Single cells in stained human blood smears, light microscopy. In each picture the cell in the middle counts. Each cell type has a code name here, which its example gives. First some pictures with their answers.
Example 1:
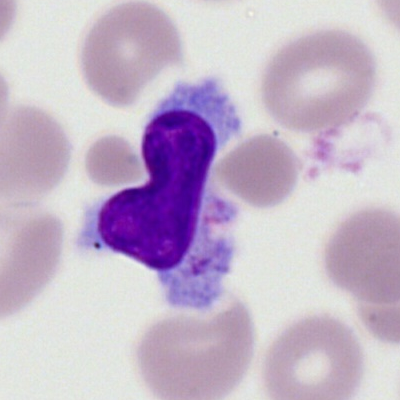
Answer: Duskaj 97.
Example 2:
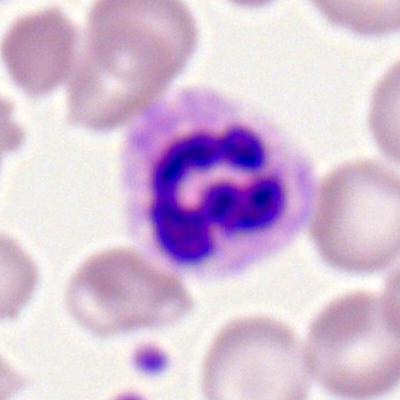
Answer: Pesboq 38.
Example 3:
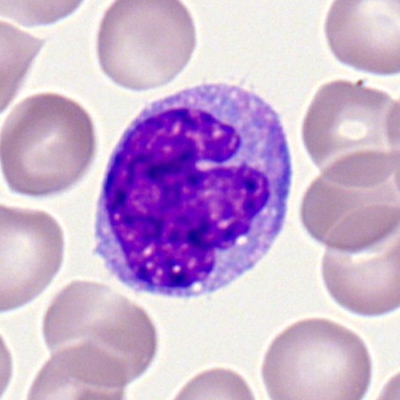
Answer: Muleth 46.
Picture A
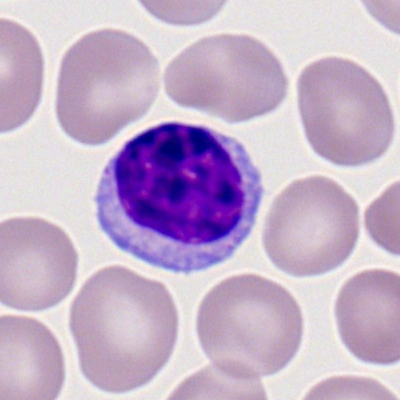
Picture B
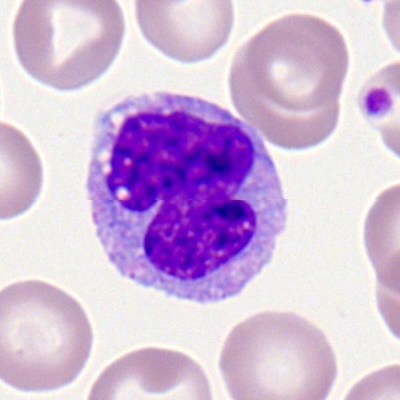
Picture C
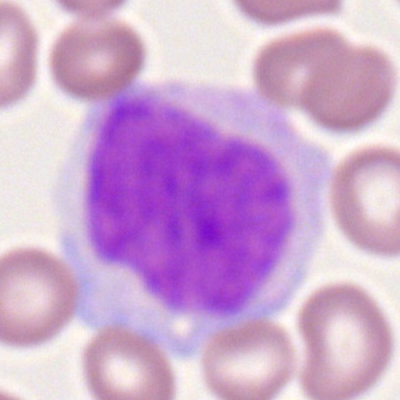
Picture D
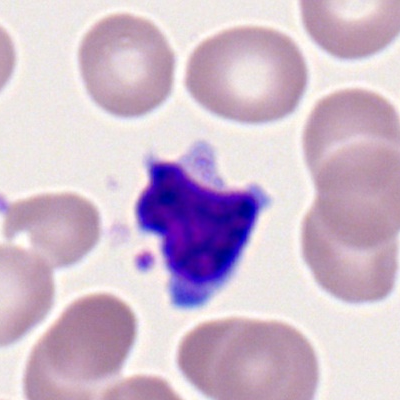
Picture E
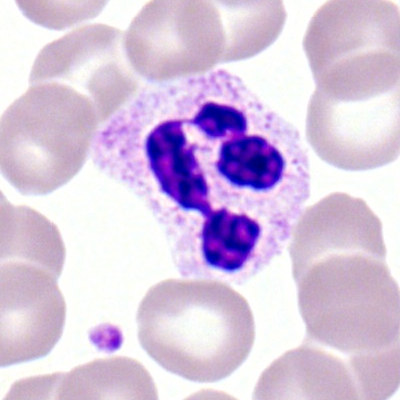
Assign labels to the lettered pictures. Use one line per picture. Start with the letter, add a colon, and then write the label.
A: Duskaj 97.
B: Muleth 46.
C: Muleth 46.
D: Duskaj 97.
E: Pesboq 38.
